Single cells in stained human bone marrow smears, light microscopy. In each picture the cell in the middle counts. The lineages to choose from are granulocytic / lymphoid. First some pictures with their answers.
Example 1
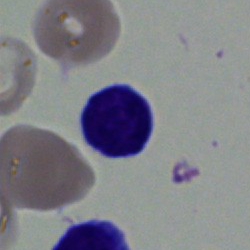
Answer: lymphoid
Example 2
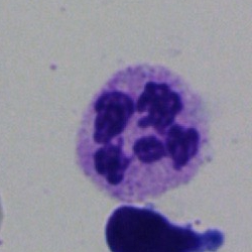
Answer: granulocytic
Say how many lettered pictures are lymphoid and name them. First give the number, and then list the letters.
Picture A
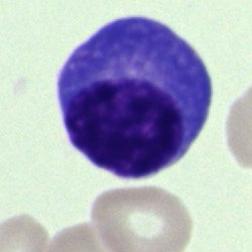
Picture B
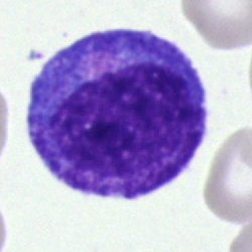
1, namely A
